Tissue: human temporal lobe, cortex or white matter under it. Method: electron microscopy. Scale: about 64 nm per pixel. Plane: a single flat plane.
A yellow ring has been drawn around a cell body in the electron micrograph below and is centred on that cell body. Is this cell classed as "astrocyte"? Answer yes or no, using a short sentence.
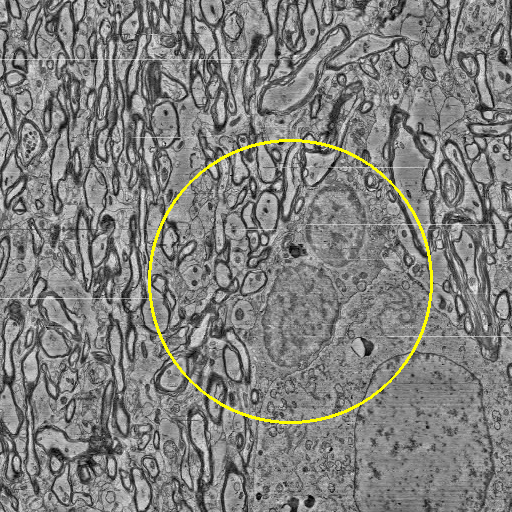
No, it is classed as another kind.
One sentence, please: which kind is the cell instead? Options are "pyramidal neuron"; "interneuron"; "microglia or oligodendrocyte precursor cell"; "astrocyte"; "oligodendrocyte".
The cell circled by the yellow ring is an oligodendrocyte.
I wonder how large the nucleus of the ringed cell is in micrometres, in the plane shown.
In this plane the nucleus spans approximately 7 by 5 micrometers.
